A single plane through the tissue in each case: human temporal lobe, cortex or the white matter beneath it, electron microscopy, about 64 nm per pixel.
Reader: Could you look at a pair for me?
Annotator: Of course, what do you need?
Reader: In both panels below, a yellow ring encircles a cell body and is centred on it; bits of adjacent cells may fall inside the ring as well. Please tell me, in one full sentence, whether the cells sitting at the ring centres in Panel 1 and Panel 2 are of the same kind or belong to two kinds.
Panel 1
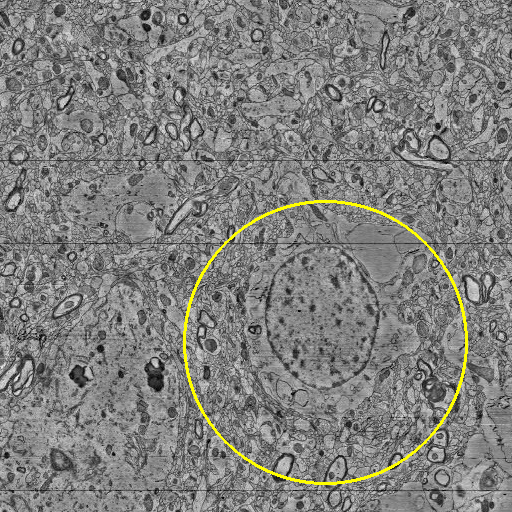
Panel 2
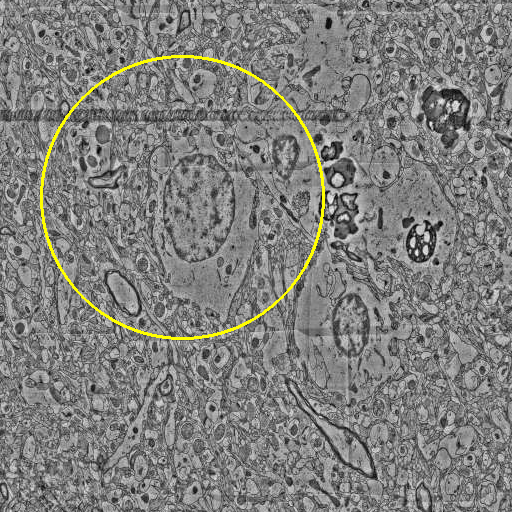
The cell at the ring's centre in Panel 1 and the one in Panel 2 are of the same kind.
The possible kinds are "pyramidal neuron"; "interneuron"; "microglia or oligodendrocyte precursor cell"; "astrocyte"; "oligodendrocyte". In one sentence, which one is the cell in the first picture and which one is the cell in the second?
In each of the two pictures, the ringed cell is an astrocyte.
